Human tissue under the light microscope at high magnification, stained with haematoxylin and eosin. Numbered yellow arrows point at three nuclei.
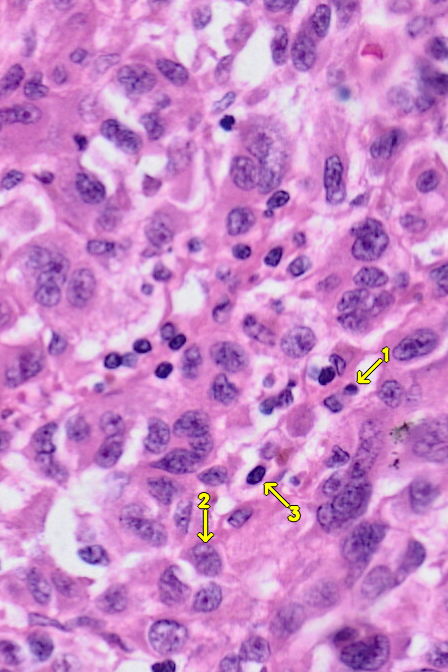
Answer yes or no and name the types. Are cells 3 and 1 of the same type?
Yes, cells number 3 and number 1 are both lymphocytes.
